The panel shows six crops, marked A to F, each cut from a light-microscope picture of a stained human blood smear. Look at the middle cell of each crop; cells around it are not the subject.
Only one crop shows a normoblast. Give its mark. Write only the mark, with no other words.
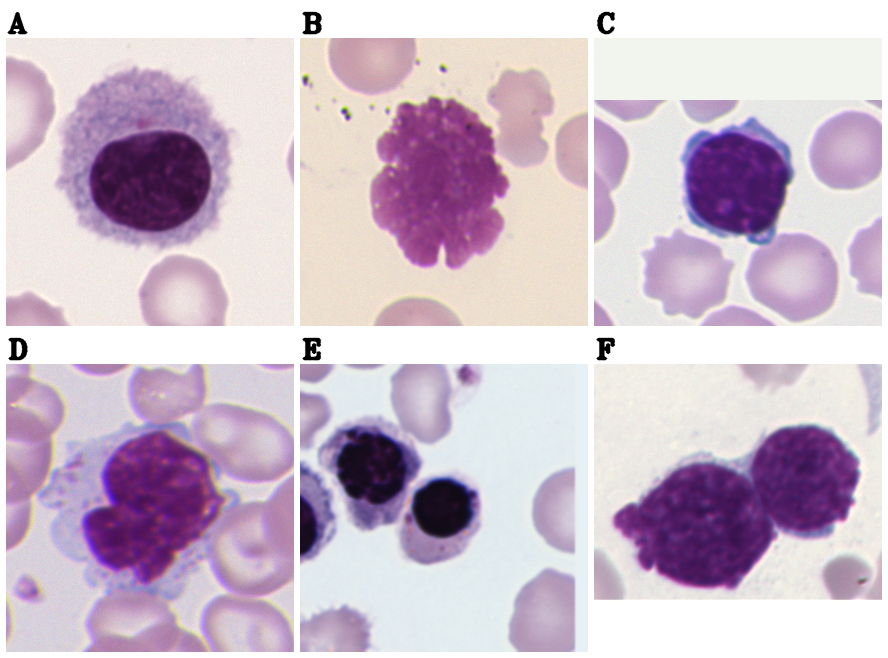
E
